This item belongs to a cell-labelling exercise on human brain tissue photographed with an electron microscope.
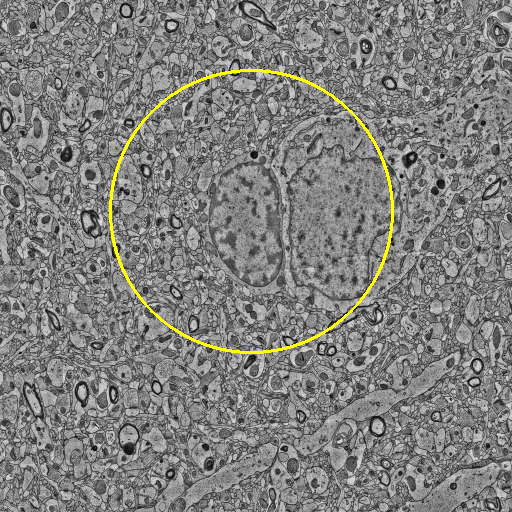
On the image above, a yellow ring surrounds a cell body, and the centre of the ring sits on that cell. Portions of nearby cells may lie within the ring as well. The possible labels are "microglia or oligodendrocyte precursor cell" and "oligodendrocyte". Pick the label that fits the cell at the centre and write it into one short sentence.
This cell should be labelled as an oligodendrocyte.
